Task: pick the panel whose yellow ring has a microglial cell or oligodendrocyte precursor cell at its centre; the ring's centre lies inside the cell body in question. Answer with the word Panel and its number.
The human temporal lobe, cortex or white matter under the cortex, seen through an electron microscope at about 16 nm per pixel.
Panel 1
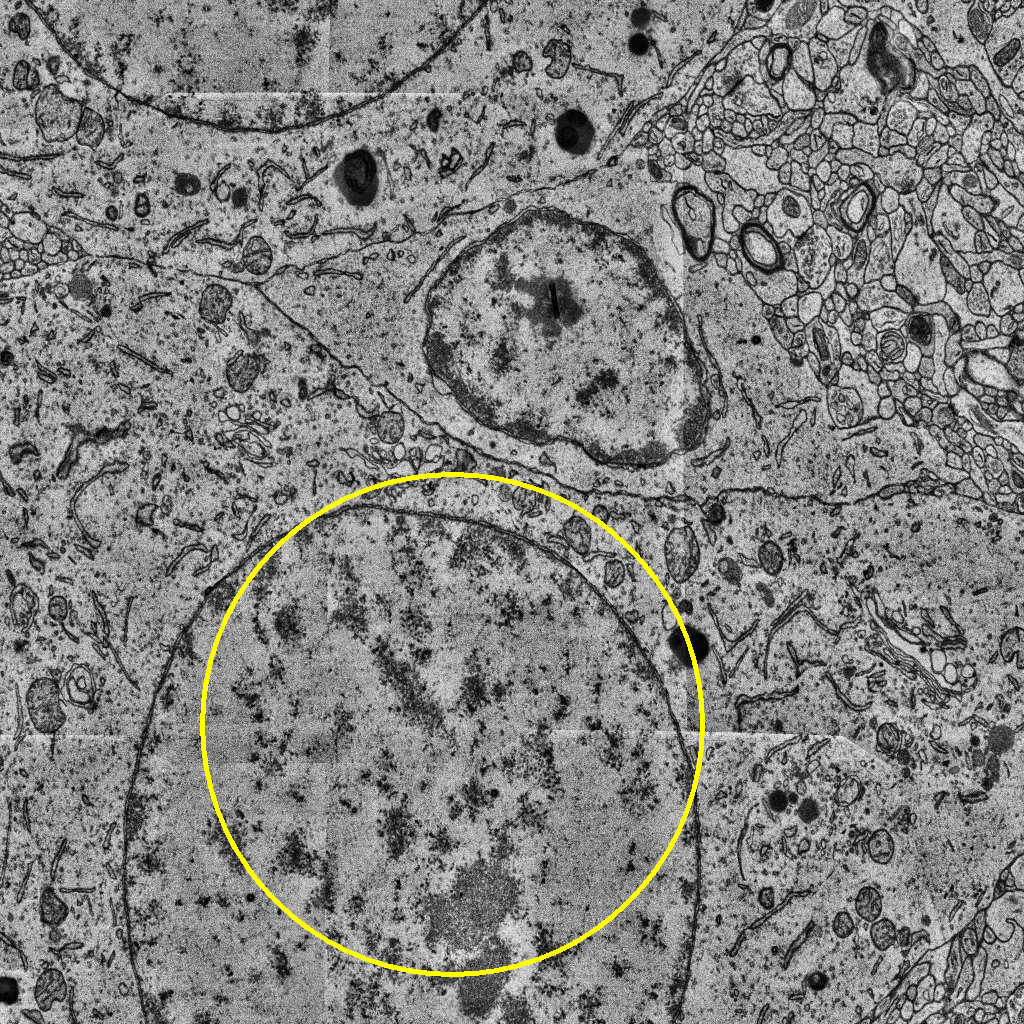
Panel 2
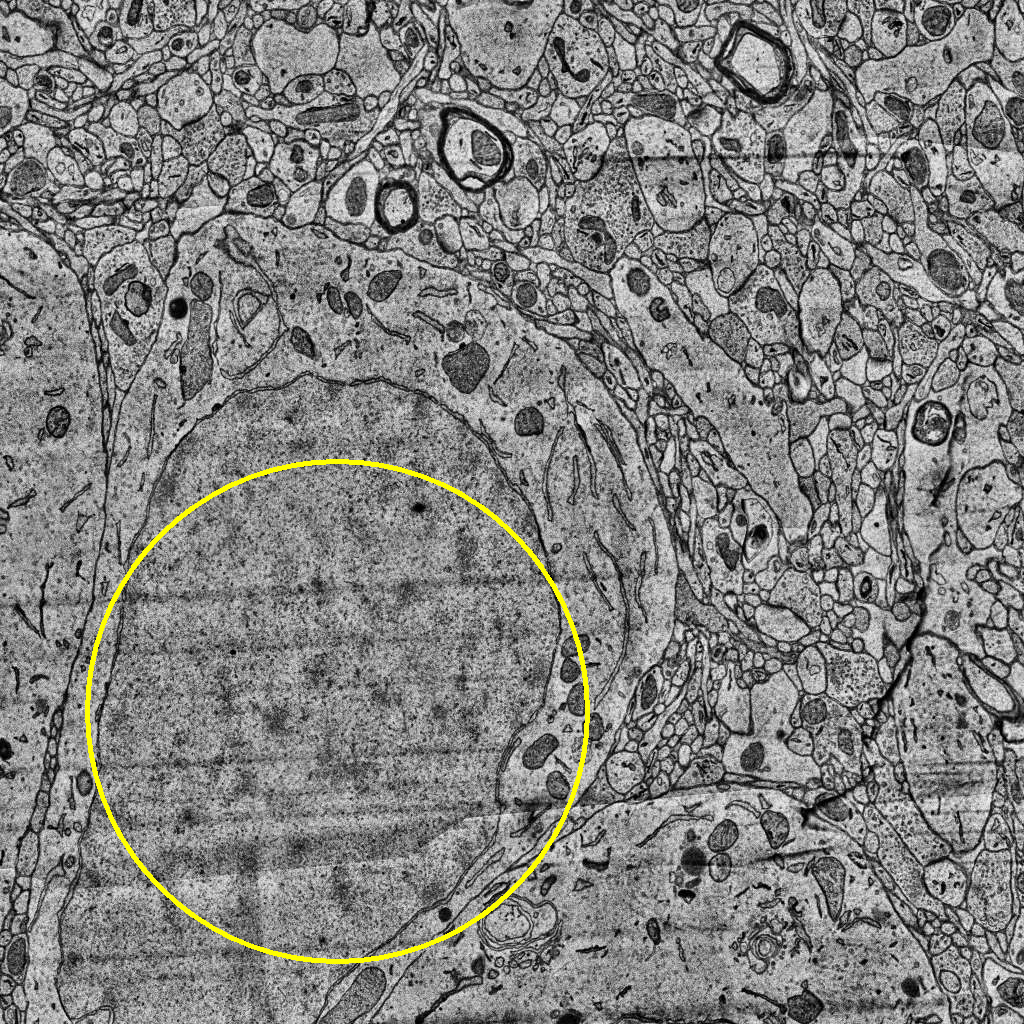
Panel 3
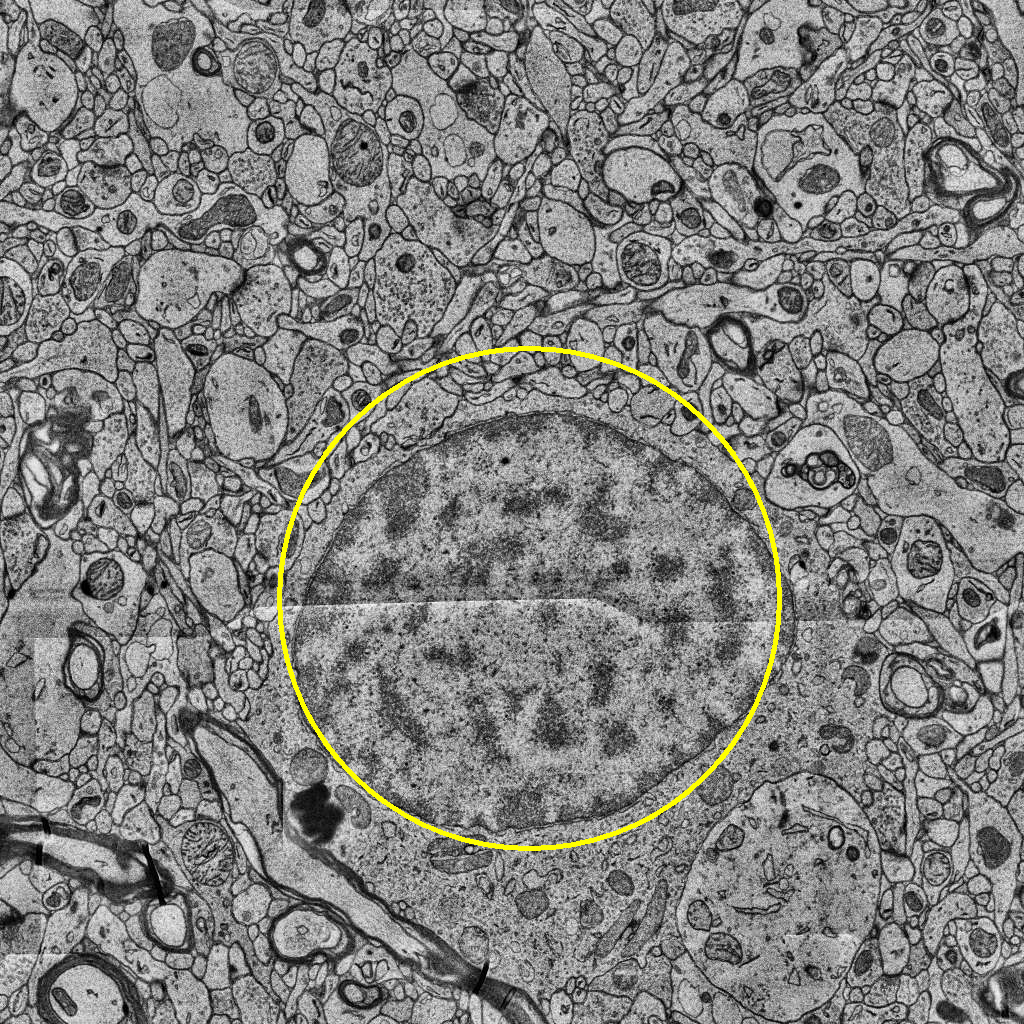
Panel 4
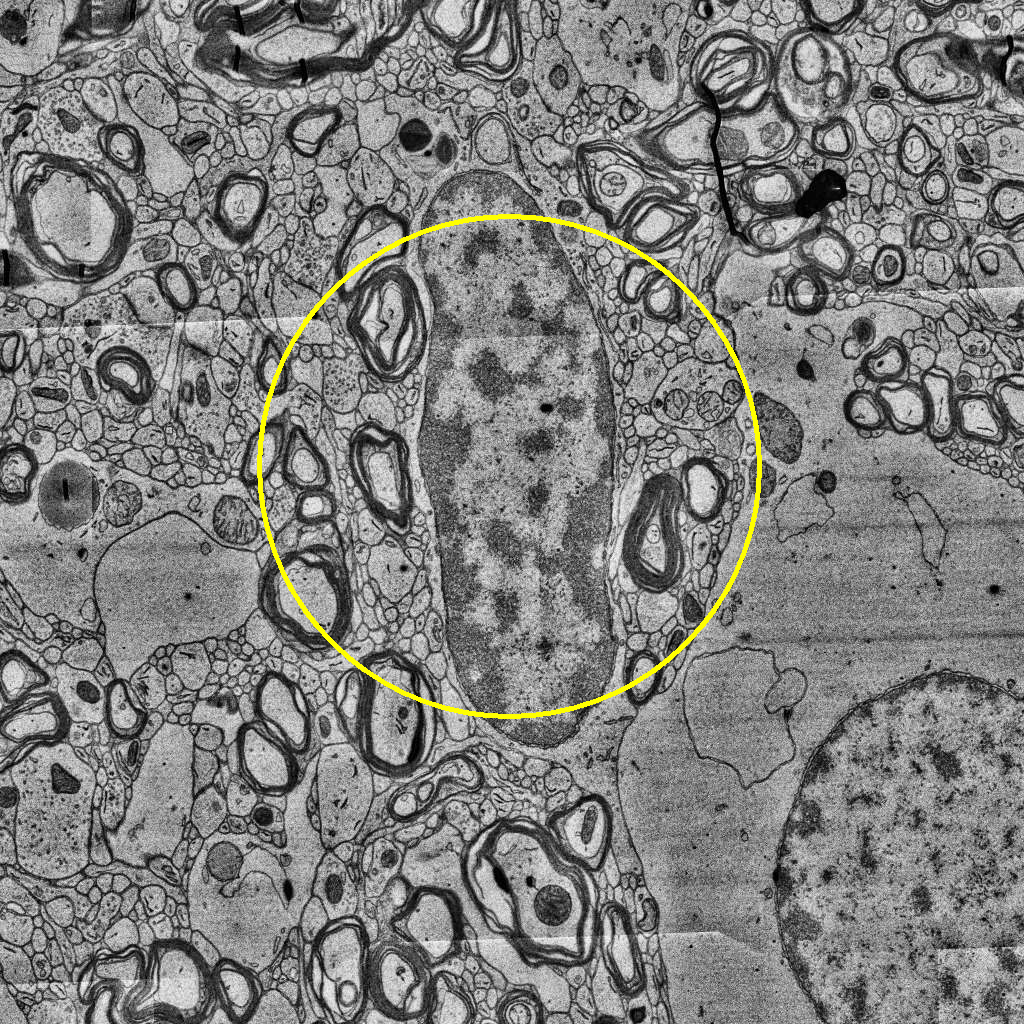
Panel 4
